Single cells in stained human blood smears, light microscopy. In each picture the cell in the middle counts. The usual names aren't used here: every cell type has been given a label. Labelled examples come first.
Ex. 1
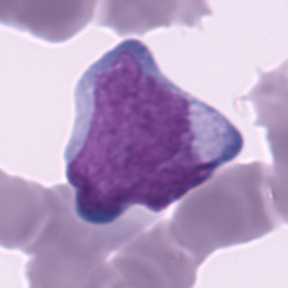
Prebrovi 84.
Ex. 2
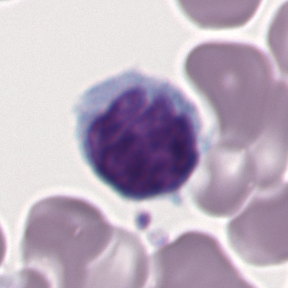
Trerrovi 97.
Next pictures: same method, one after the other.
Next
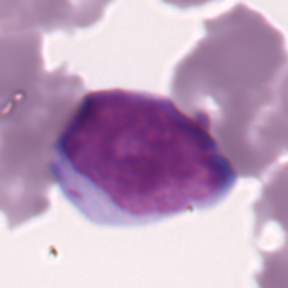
Prebrovi 84.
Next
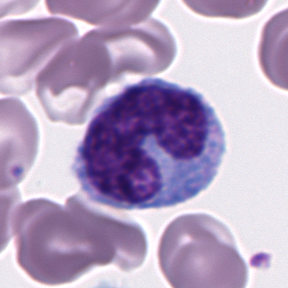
Trerrovi 97.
